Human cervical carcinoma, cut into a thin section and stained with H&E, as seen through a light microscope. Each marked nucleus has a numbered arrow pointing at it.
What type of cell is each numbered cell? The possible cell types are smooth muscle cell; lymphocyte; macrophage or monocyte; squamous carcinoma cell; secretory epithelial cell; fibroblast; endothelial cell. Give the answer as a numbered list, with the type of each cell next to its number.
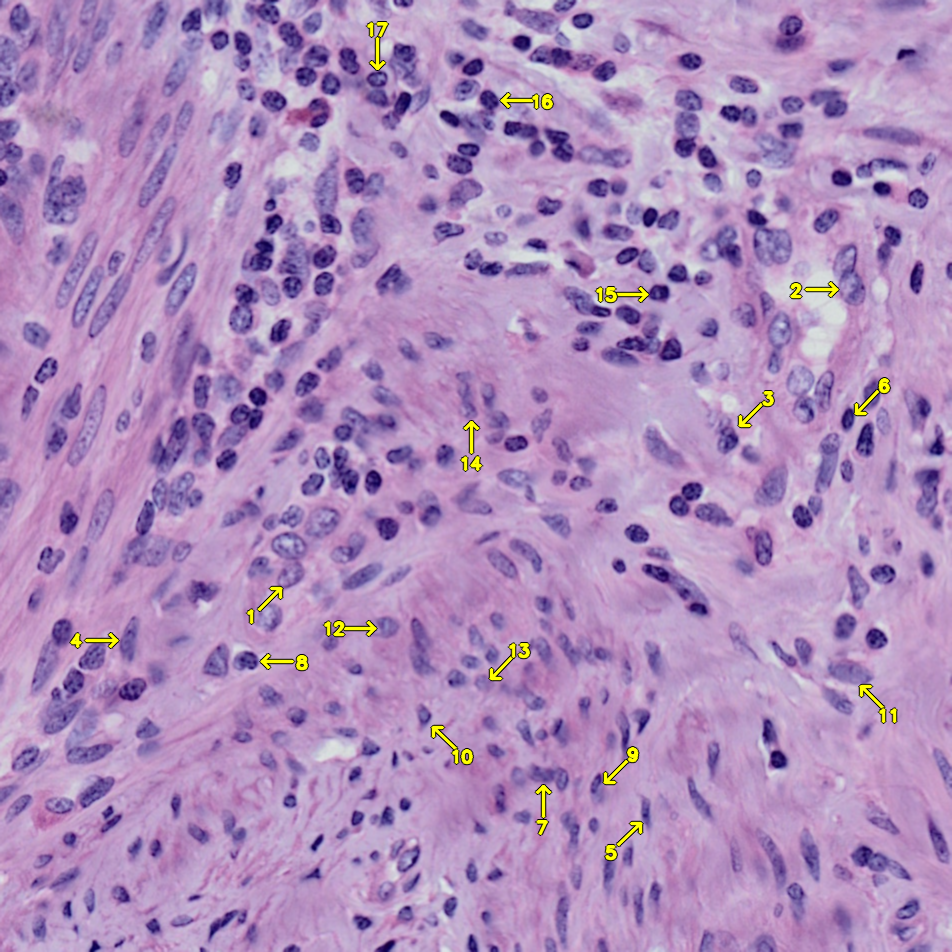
1. endothelial cell
2. endothelial cell
3. lymphocyte
4. fibroblast
5. fibroblast
6. lymphocyte
7. smooth muscle cell
8. lymphocyte
9. smooth muscle cell
10. smooth muscle cell
11. fibroblast
12. smooth muscle cell
13. smooth muscle cell
14. smooth muscle cell
15. lymphocyte
16. lymphocyte
17. lymphocyte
